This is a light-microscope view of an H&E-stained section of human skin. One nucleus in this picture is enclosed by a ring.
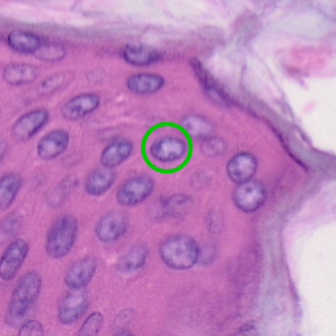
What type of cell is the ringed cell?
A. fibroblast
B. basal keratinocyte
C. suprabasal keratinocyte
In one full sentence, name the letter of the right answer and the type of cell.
Best answer: option C, with the ringed cell being a suprabasal keratinocyte.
